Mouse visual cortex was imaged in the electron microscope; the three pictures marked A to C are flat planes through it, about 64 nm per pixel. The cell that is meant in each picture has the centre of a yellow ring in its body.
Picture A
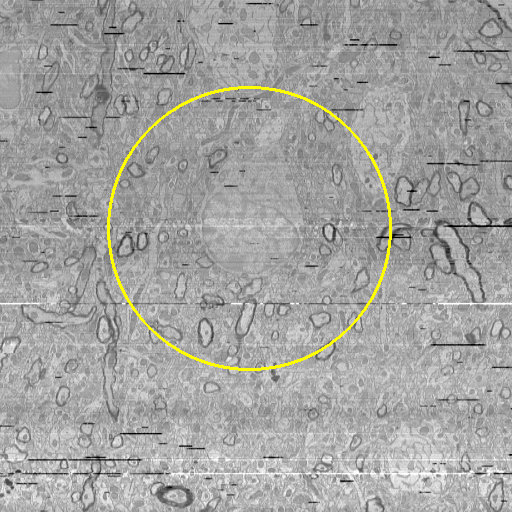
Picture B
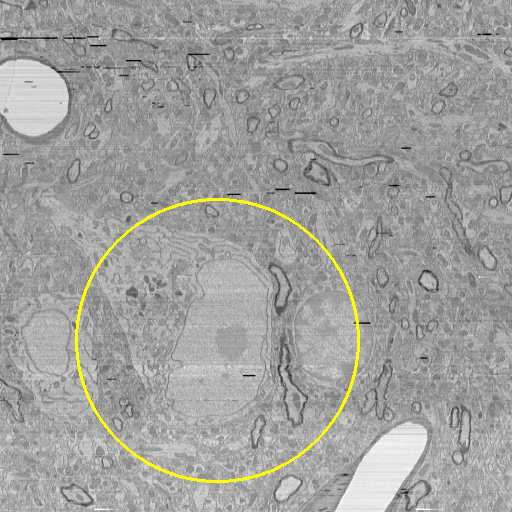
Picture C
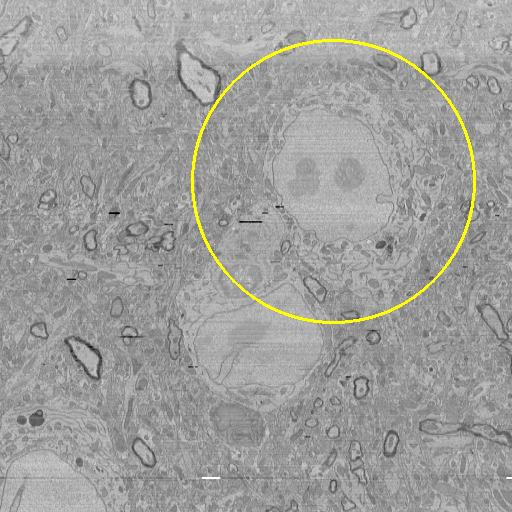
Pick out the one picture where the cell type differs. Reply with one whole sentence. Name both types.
The different one is picture A; it shows an oligodendrocyte, whereas all the others show inhibitory neurons.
